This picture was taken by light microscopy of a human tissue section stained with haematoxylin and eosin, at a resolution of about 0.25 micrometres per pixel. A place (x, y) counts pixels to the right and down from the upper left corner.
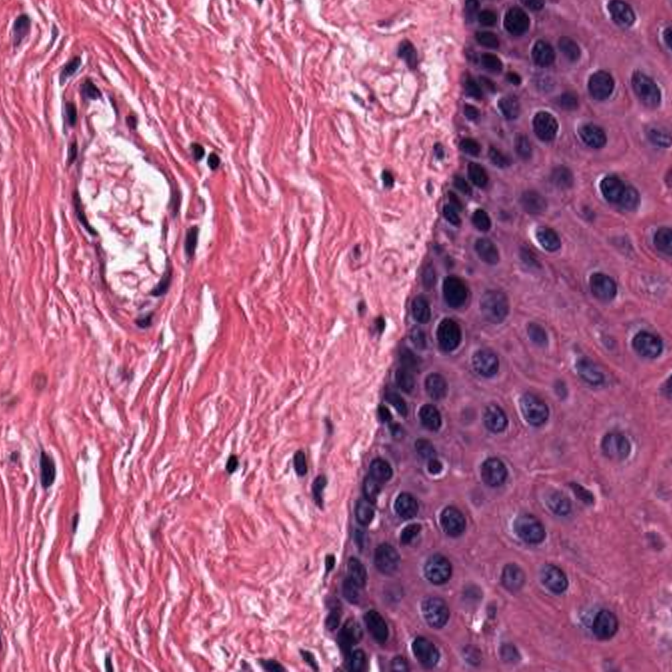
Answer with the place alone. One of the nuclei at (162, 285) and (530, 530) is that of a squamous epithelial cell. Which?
(530, 530)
